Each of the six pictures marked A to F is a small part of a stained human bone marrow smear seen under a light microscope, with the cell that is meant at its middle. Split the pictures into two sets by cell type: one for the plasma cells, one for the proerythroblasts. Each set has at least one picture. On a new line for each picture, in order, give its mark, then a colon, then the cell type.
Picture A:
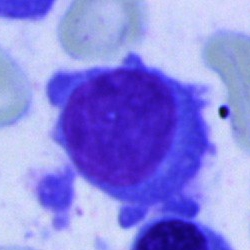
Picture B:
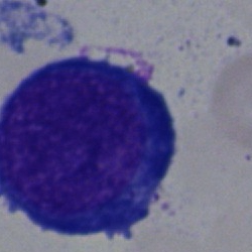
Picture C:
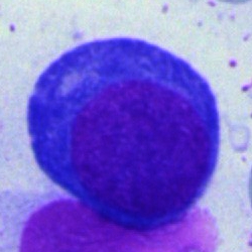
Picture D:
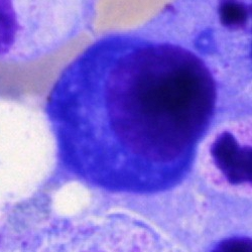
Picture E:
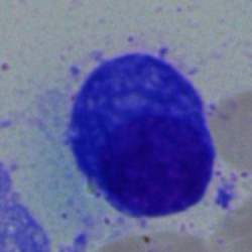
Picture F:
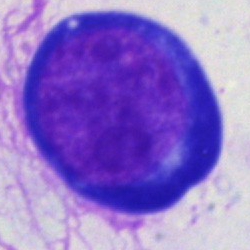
A: plasma cell
B: proerythroblast
C: proerythroblast
D: plasma cell
E: plasma cell
F: proerythroblast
